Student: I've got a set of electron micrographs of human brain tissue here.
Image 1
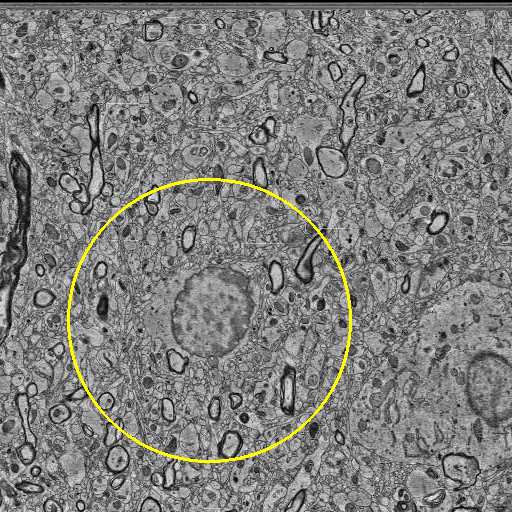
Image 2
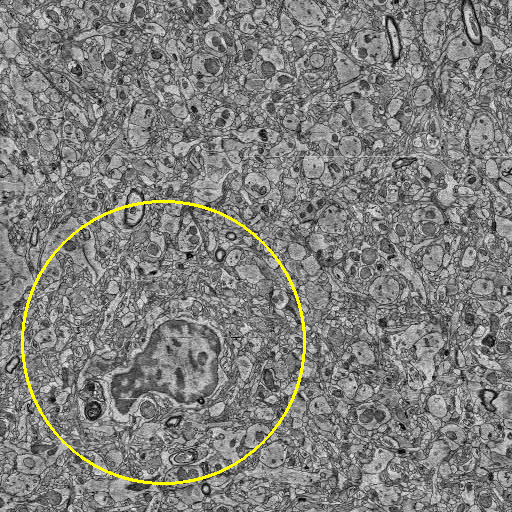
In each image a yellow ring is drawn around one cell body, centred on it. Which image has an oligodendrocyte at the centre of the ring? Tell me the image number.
1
